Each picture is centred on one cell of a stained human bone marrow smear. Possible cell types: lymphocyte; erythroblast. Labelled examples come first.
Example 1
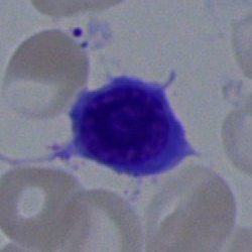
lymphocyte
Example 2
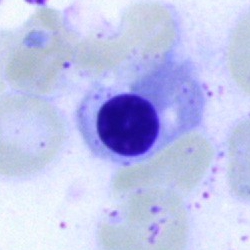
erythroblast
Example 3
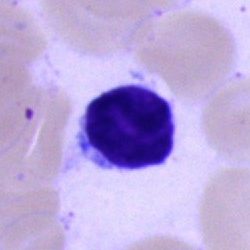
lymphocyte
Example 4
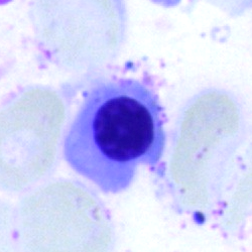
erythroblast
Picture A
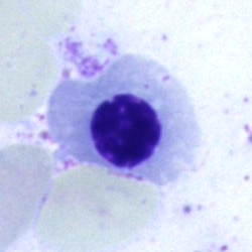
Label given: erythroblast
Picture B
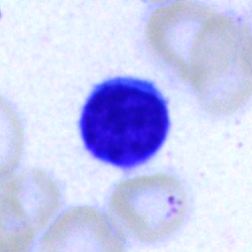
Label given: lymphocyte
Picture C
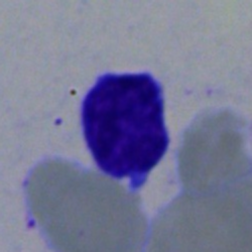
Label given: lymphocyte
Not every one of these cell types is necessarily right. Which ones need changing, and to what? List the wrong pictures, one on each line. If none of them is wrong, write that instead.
All correct.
